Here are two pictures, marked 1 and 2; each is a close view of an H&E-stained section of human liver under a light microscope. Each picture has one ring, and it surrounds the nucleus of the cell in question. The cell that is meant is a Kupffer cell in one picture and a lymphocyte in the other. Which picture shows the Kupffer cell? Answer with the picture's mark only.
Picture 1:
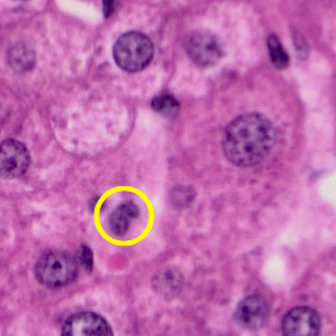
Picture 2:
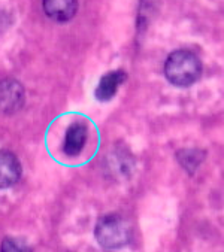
1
